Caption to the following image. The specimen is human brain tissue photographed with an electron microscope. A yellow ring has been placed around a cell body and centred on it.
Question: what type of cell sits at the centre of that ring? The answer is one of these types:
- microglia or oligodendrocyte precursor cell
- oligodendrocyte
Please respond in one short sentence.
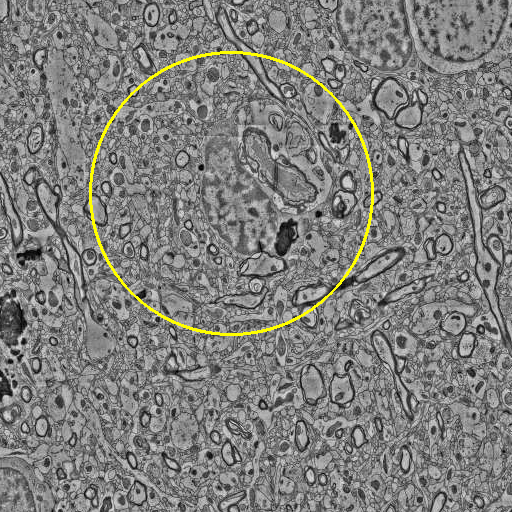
The ring surrounds the cell body of an oligodendrocyte.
